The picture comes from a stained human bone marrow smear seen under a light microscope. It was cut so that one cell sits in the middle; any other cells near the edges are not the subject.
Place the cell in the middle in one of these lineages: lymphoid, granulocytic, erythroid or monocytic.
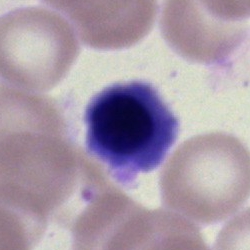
erythroid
